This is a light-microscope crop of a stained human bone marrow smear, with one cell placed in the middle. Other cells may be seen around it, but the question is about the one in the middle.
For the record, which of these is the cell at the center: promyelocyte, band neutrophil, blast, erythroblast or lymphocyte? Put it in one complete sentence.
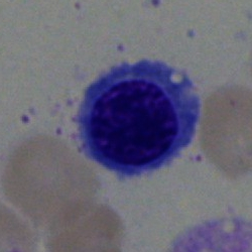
The target cell in the middle of the crop is an erythroblast.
